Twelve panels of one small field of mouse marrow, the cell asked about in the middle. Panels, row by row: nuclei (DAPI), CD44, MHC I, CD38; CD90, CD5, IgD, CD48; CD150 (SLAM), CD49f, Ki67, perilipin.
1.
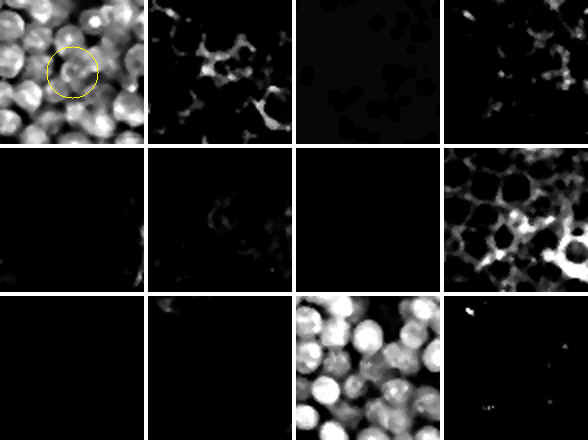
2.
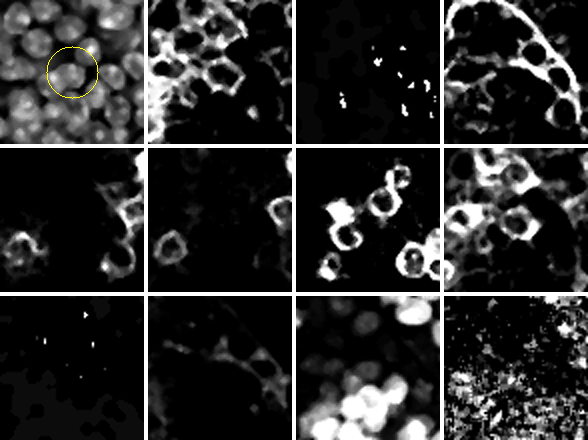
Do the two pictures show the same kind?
No: an erythroblast, then a capillary endothelial cell.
